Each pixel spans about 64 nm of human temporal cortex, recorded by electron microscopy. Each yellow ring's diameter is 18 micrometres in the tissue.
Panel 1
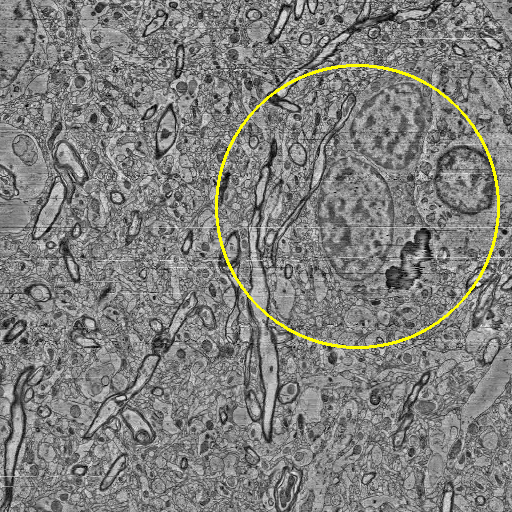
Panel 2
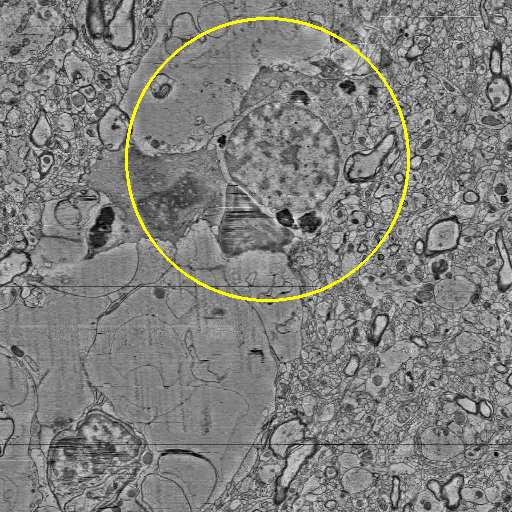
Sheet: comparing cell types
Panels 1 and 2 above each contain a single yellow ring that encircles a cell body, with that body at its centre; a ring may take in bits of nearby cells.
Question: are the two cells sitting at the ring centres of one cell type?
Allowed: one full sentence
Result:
Yes, the ring-centre cells in Panel 1 and Panel 2 are of one type.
